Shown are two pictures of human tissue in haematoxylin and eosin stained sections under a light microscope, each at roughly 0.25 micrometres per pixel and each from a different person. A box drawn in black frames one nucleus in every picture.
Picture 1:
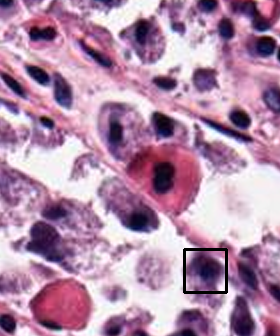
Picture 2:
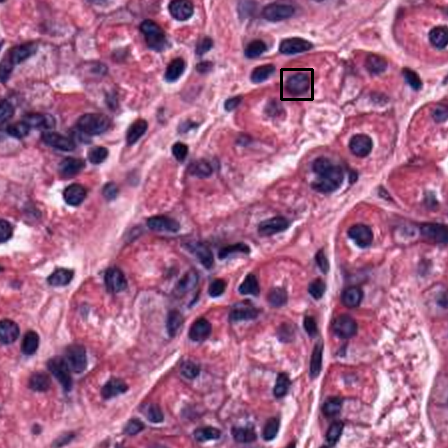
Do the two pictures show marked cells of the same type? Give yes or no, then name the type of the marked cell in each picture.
No, the first is a chief cell and the second a parietal cell.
